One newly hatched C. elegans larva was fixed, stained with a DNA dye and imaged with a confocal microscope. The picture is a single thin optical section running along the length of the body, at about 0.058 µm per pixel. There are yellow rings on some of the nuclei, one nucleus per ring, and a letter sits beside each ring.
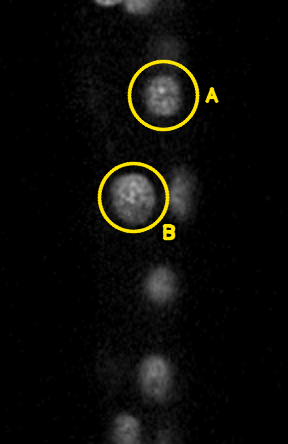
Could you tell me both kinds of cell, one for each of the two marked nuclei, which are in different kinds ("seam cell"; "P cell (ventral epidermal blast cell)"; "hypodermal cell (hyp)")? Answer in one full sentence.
A belongs to a seam cell and B to a hypodermal cell (hyp).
